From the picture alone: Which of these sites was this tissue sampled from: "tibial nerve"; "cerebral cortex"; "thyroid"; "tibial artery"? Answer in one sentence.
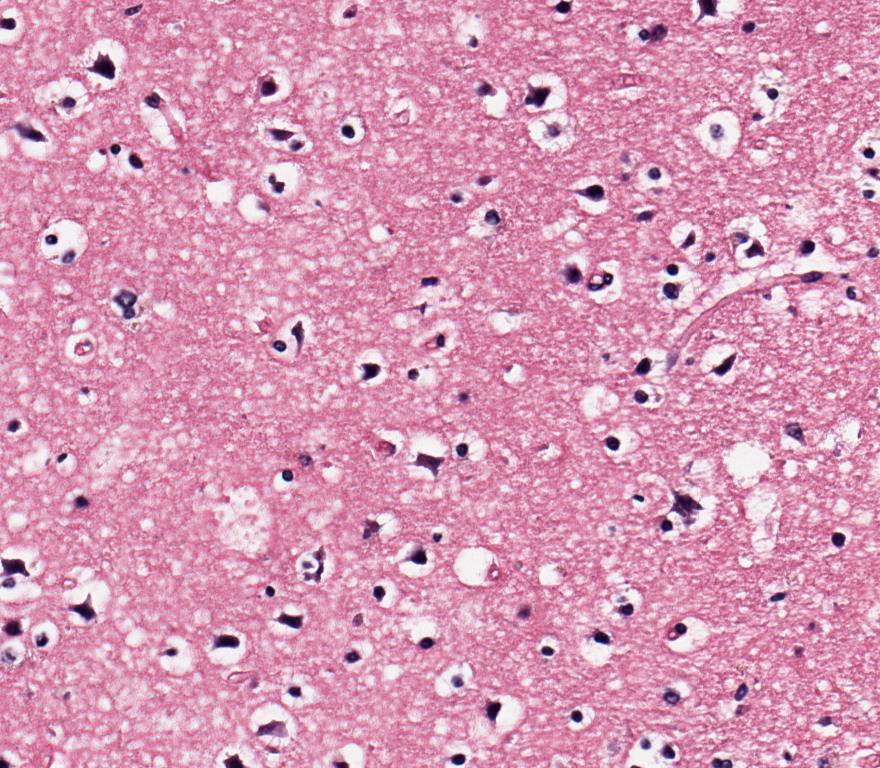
The site this tissue was sampled from is the cerebral cortex.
